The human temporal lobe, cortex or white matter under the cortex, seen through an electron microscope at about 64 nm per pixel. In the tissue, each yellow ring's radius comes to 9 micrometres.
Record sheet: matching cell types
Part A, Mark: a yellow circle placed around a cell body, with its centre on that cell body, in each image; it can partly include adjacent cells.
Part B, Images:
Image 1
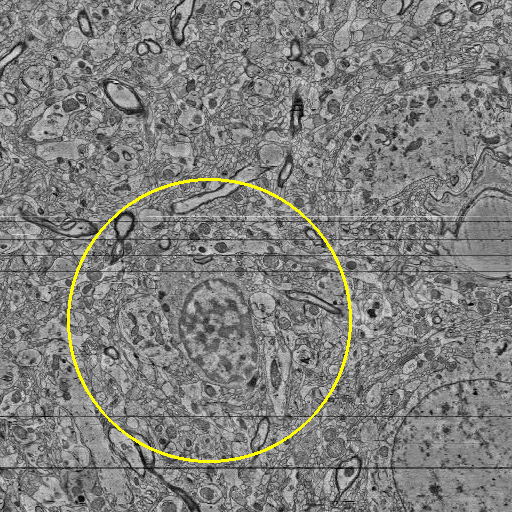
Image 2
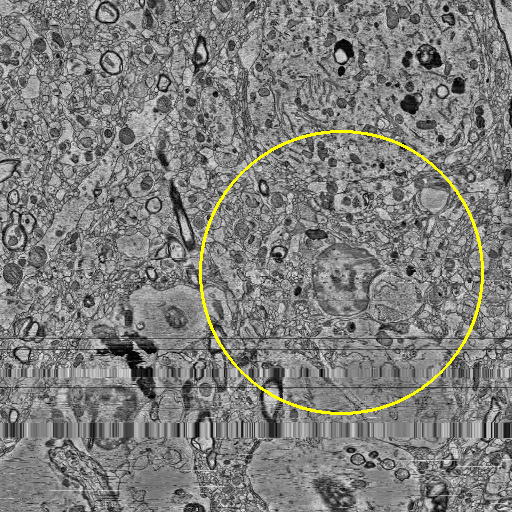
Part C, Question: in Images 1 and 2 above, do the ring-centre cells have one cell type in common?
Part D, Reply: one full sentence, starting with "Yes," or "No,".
No, the ring-centre cells of Image 1 and Image 2 are each of a separate cell type.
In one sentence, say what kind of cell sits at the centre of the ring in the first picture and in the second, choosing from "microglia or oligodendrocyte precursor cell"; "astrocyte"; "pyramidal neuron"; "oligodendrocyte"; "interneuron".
The first picture's ringed cell is an oligodendrocyte, while the second picture's is a microglial cell or oligodendrocyte precursor cell.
